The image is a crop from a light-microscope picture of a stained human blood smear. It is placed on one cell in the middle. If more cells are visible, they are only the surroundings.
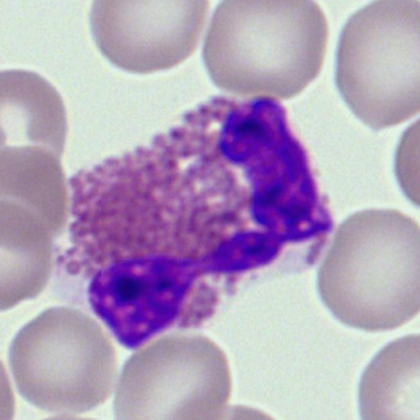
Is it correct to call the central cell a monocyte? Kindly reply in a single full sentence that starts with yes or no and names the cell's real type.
No, a monocyte is not what the central cell is; it is an eosinophil.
